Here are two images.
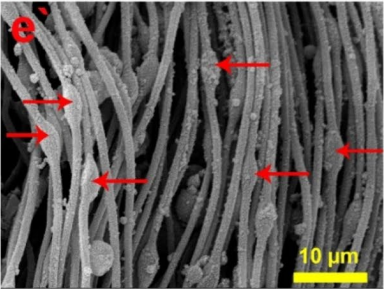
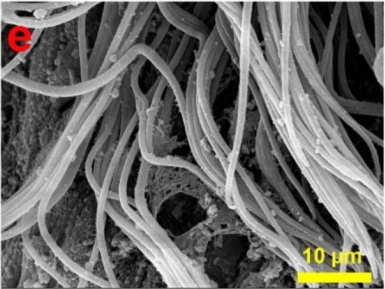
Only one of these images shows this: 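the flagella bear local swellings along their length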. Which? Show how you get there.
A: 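First image: parallel filaments carry many small bulges and beads along their shafts. Second image: the filaments are smooth and of even thickness. That points to this answer: the first image.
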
